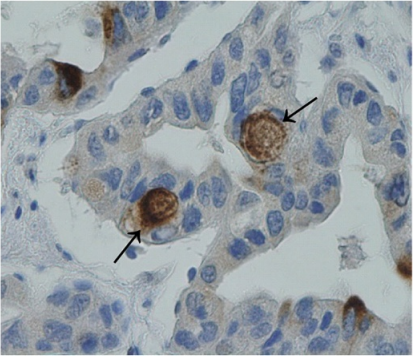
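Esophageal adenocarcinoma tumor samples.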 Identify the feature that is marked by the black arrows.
Globular structures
